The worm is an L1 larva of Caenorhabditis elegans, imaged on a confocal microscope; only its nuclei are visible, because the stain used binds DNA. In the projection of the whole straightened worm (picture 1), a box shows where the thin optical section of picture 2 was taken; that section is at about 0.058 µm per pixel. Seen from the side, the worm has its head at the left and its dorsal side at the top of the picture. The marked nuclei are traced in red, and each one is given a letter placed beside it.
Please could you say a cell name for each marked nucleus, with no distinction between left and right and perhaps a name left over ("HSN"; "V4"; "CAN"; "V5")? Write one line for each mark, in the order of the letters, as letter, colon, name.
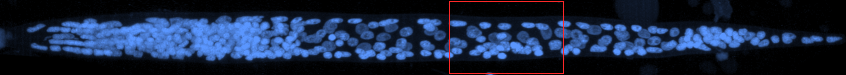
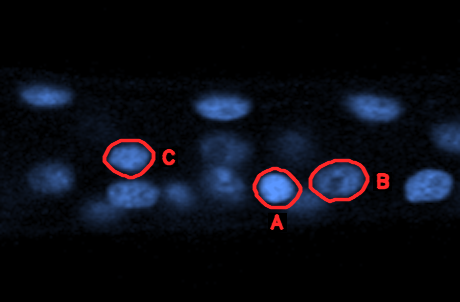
A: HSN
B: V4
C: CAN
